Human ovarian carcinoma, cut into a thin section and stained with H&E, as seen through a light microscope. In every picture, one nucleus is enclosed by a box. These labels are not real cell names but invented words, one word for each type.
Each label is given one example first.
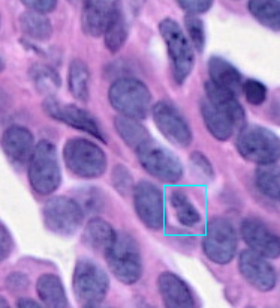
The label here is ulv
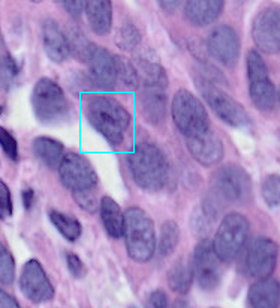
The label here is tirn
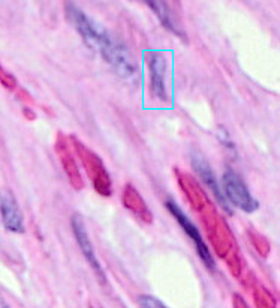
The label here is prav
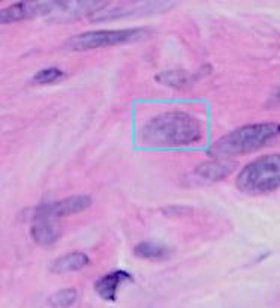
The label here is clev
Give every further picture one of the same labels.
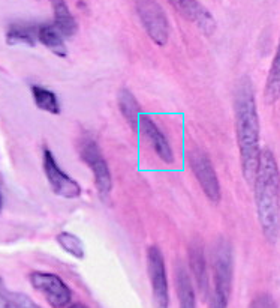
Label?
clev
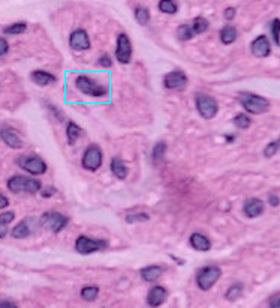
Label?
clev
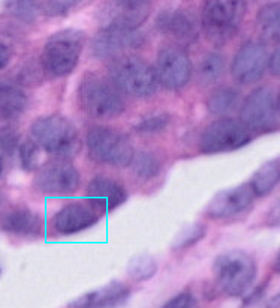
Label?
tirn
